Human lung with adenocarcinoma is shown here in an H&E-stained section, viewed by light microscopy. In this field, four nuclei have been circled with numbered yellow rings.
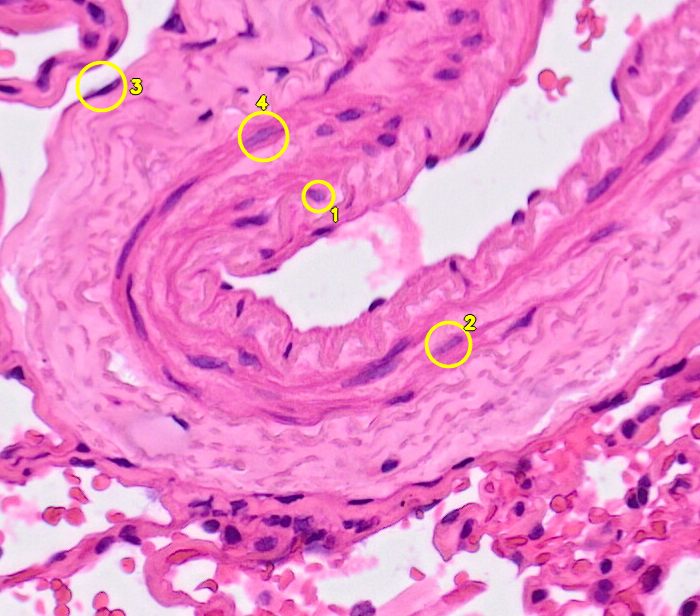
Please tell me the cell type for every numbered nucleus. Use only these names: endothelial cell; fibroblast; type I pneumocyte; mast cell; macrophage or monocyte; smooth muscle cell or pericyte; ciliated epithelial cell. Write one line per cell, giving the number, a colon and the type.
1: smooth muscle cell or pericyte
2: smooth muscle cell or pericyte
3: endothelial cell
4: smooth muscle cell or pericyte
